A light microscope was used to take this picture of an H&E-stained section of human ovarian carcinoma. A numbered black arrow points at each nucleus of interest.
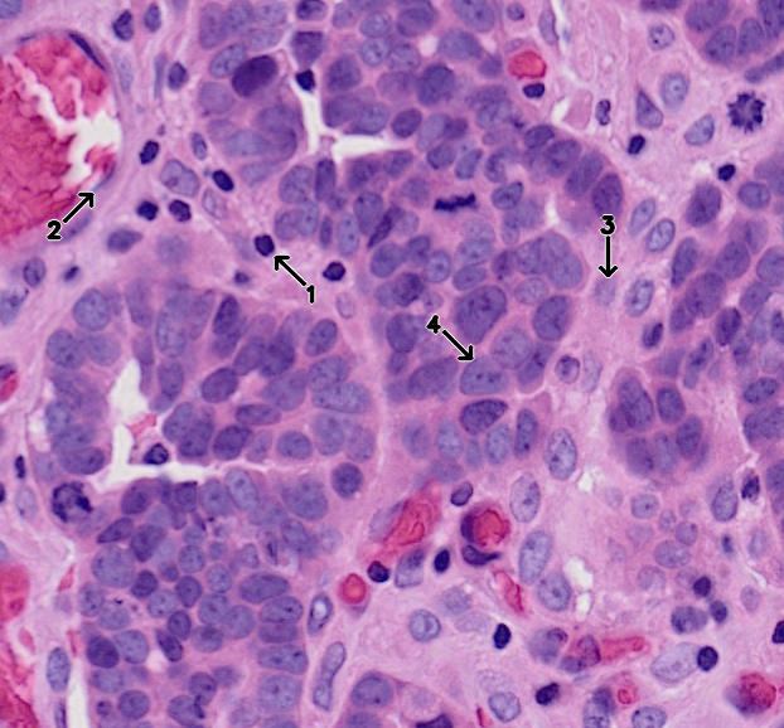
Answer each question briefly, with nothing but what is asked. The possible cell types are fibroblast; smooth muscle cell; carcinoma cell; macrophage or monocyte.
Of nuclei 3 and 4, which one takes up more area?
4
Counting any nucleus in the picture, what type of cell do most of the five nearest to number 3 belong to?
carcinoma cell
